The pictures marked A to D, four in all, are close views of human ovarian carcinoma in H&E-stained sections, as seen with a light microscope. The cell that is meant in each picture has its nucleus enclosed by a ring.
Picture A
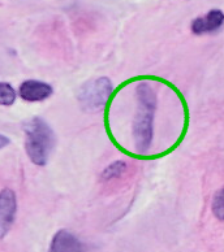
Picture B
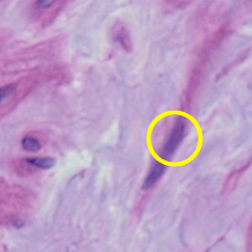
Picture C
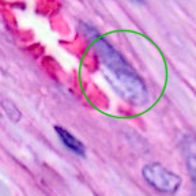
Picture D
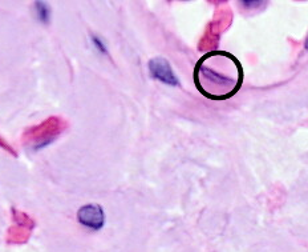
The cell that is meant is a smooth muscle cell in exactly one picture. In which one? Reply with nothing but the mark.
B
